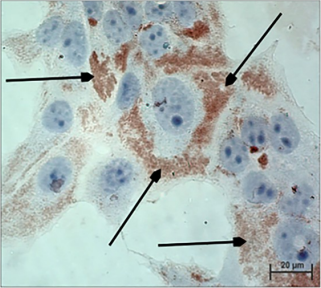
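Around the nuclei lies a broad cytoplasm filled with coarse reddish-brown granular deposits, densest in patches beside the nuclei. The nuclei stay free of brown, so the stain is confined to the cytoplasm. Cell borders are indistinct, and the cells spread out thinly at the edges of the cluster.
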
